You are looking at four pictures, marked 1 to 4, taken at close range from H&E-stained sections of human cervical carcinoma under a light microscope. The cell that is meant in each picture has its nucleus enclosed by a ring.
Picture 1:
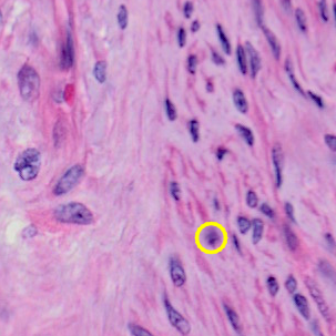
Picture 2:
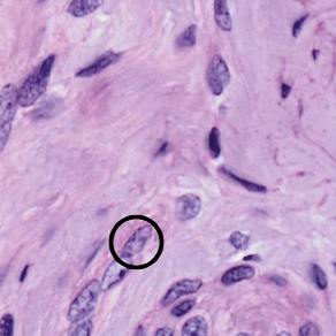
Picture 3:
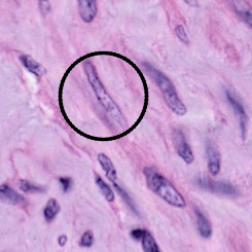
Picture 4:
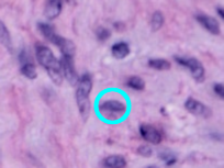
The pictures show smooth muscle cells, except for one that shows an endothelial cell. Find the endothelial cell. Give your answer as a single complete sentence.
The cell in picture 2 is the endothelial cell.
